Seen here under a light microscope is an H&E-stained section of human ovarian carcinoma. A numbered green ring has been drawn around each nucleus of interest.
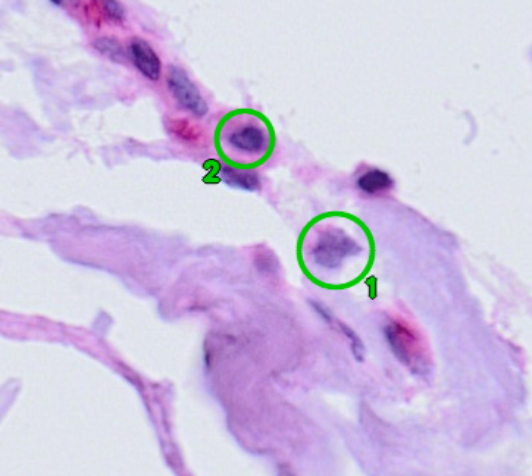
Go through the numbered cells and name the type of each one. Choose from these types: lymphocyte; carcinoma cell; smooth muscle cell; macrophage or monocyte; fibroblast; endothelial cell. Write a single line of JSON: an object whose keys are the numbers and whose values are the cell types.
{"1": "fibroblast", "2": "macrophage or monocyte"}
